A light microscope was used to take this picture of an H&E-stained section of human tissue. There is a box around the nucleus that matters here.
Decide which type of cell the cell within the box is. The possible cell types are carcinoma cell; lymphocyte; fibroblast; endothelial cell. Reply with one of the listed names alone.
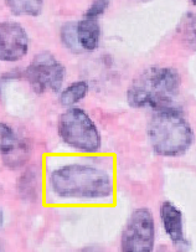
carcinoma cell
